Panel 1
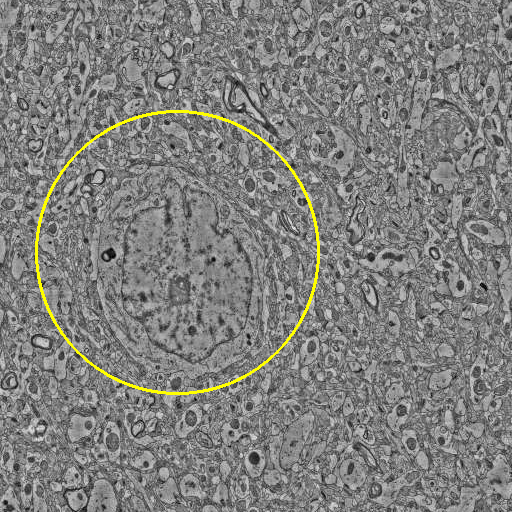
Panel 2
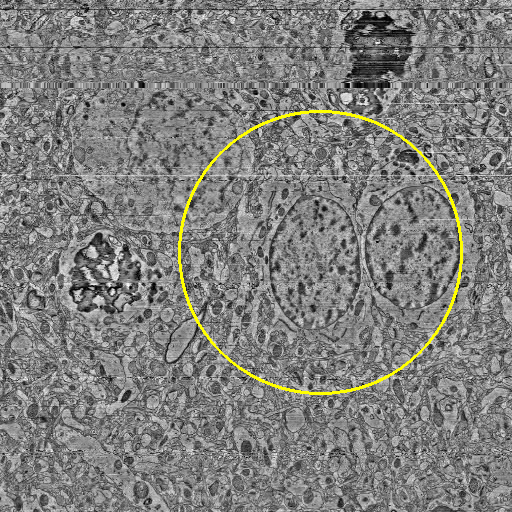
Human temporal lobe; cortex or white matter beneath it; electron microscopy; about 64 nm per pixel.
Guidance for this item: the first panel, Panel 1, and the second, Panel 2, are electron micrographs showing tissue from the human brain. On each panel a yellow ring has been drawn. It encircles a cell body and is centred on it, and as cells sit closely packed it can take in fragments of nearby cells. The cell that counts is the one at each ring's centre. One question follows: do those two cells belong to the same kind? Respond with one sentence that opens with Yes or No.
No, the cells at the ring centres in Panel 1 and Panel 2 are of two kinds.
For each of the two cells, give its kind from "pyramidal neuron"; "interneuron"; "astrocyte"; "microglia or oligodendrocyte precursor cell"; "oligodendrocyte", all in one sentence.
The first picture has an interneuron in its ring, the second has an astrocyte.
